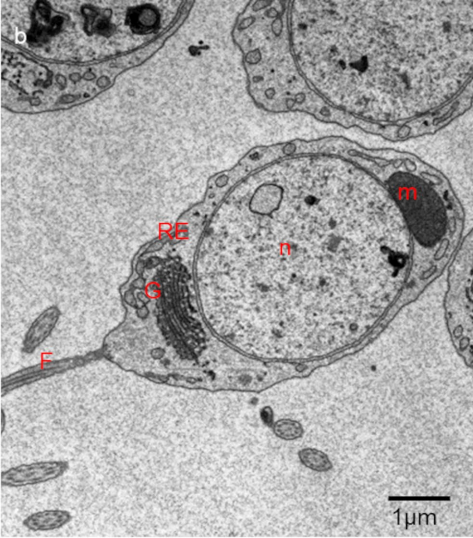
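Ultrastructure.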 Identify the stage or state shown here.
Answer: isodiametric spermatids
